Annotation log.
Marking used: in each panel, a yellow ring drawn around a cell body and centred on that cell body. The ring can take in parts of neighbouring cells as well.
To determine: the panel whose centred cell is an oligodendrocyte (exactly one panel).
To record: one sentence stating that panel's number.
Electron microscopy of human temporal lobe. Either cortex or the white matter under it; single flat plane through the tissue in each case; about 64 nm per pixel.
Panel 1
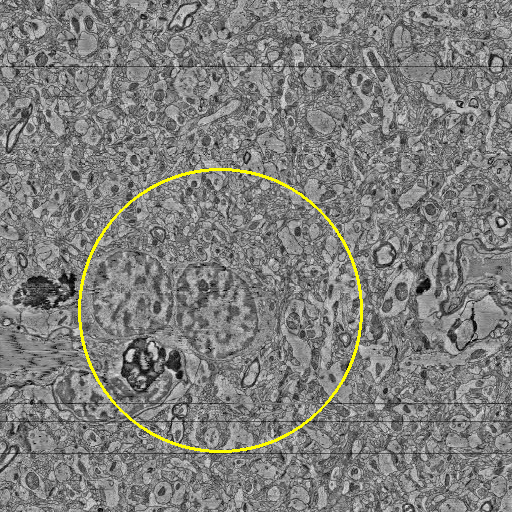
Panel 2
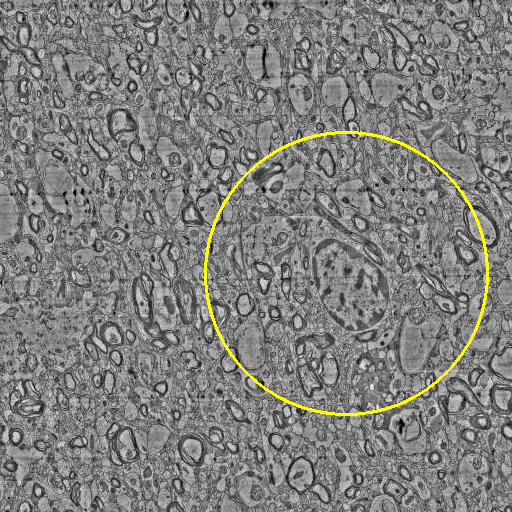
Panel 1 shows it at the centre of its ring.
